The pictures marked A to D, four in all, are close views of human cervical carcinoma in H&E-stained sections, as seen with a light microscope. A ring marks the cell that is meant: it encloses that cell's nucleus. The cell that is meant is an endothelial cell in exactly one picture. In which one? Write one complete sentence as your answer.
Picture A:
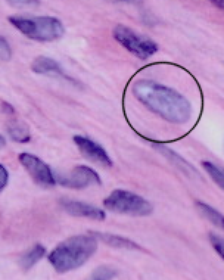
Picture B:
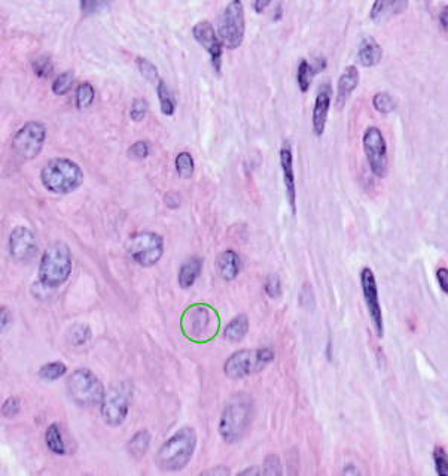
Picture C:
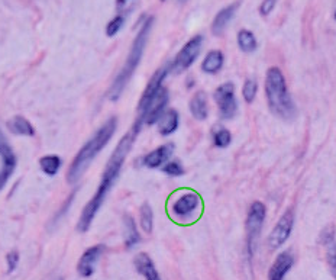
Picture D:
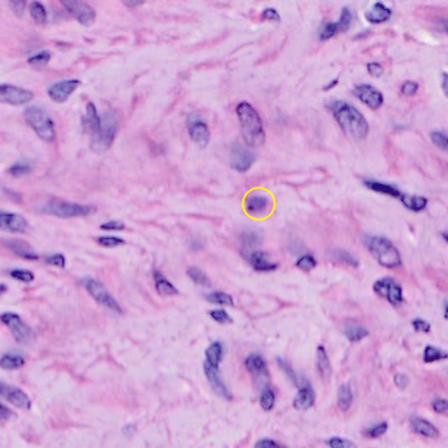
Picture A is the one that shows the endothelial cell.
